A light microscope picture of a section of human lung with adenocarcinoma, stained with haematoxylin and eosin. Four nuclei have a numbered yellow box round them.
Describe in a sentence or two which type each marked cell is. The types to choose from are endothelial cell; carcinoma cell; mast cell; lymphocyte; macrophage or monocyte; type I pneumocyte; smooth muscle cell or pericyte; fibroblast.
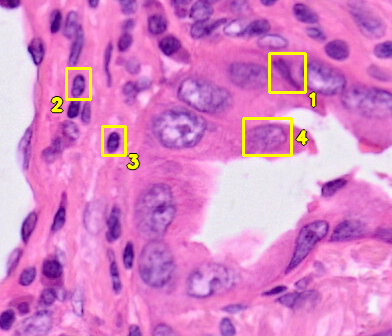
Cells 1 and 4 are carcinoma cells. Cell 2 is a mast cell. Cell 3 is a lymphocyte.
